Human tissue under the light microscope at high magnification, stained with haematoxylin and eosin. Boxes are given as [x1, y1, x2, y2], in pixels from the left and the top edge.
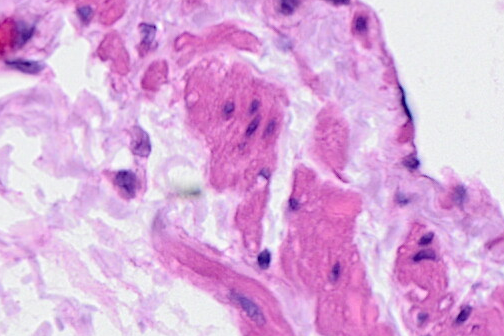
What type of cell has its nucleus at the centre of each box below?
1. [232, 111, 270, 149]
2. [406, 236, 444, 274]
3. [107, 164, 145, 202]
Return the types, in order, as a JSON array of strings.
["smooth muscle cell", "smooth muscle cell", "macrophage or monocyte"]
